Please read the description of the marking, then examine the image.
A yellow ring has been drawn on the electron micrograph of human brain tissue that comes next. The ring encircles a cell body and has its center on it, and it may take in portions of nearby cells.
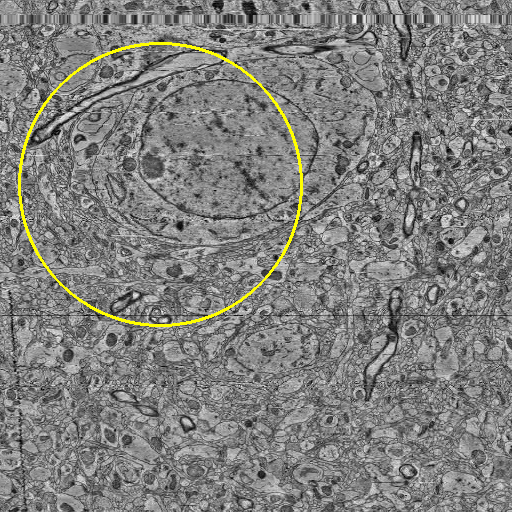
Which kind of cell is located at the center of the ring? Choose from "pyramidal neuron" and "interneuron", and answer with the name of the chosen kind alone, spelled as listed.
pyramidal neuron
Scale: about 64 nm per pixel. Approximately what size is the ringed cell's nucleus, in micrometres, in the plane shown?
The nucleus measures about 11 by 9 micrometres in this plane.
